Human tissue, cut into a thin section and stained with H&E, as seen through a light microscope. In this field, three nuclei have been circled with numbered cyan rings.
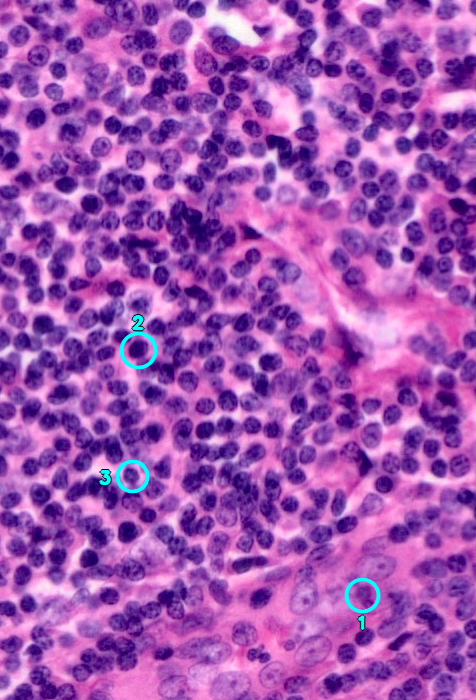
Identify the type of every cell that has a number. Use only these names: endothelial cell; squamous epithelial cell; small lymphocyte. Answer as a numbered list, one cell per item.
1. endothelial cell
2. small lymphocyte
3. small lymphocyte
